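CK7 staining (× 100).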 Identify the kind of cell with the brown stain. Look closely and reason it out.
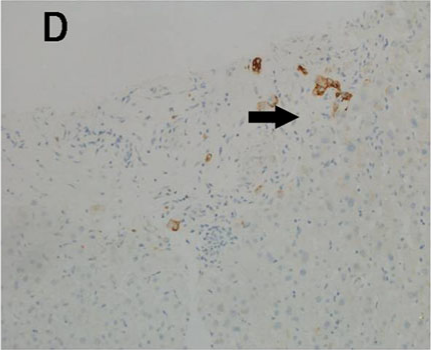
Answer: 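The surrounding sheet of cells is unstained with blue nuclei. So: cholangiocyte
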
